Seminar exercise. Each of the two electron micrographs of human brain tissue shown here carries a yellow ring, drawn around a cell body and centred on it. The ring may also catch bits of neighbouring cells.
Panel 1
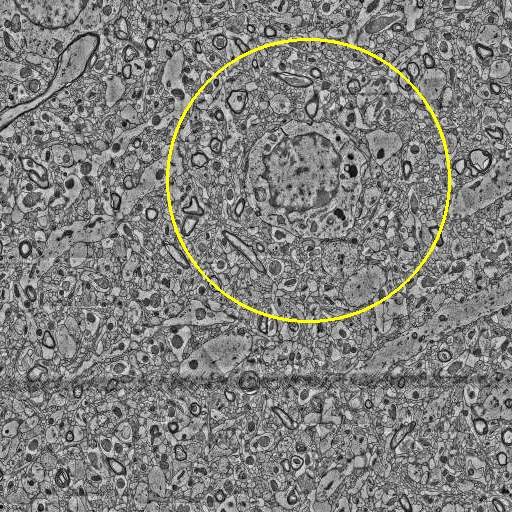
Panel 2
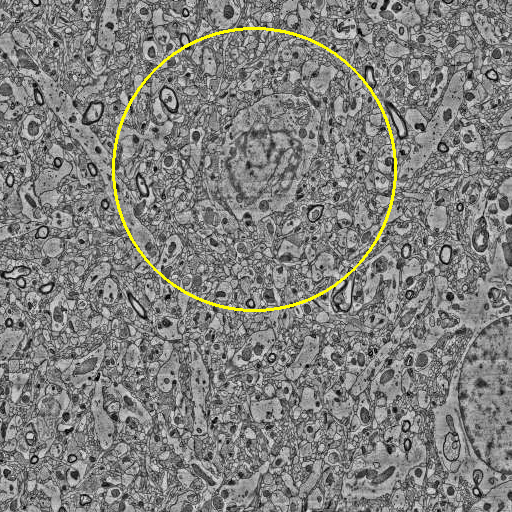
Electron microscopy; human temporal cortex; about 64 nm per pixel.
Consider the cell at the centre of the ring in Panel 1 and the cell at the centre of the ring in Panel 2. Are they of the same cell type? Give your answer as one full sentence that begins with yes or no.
Yes, both cells are of the same type.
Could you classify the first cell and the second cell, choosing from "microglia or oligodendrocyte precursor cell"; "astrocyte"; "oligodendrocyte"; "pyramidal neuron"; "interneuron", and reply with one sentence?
In the first picture and in the second, the ring is centred on an interneuron.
